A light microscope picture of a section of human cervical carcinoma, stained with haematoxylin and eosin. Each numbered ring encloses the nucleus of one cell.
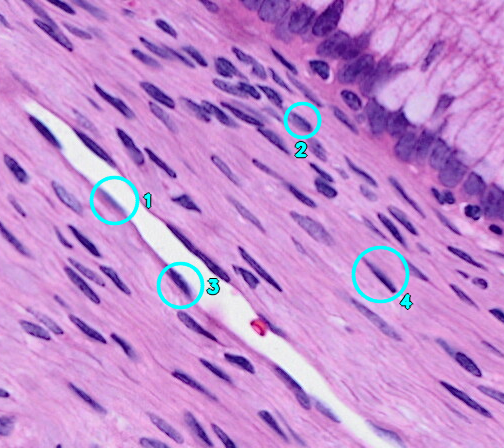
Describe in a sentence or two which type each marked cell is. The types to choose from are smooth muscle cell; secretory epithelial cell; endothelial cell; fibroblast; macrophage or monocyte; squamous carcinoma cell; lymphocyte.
Cells 1 and 3 are endothelial cells. Cells 2 and 4 are fibroblasts.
